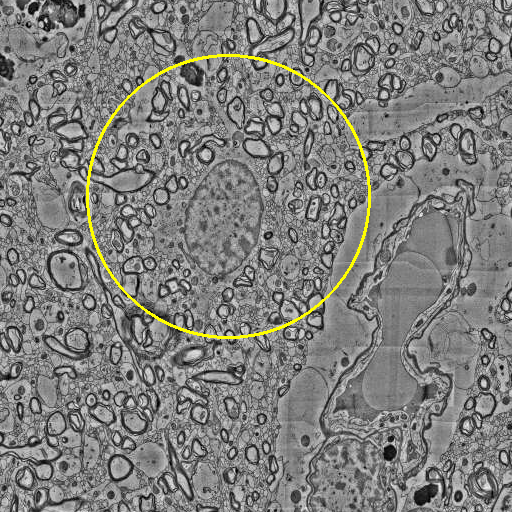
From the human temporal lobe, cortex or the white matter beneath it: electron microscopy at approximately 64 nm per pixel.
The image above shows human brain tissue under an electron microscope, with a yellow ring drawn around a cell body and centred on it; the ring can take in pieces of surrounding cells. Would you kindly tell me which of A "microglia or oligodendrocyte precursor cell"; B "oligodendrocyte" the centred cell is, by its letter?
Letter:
B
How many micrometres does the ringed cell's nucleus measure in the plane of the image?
In this plane the nucleus is clearly longer than it is wide, at approximately 8 by 5 micrometres.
